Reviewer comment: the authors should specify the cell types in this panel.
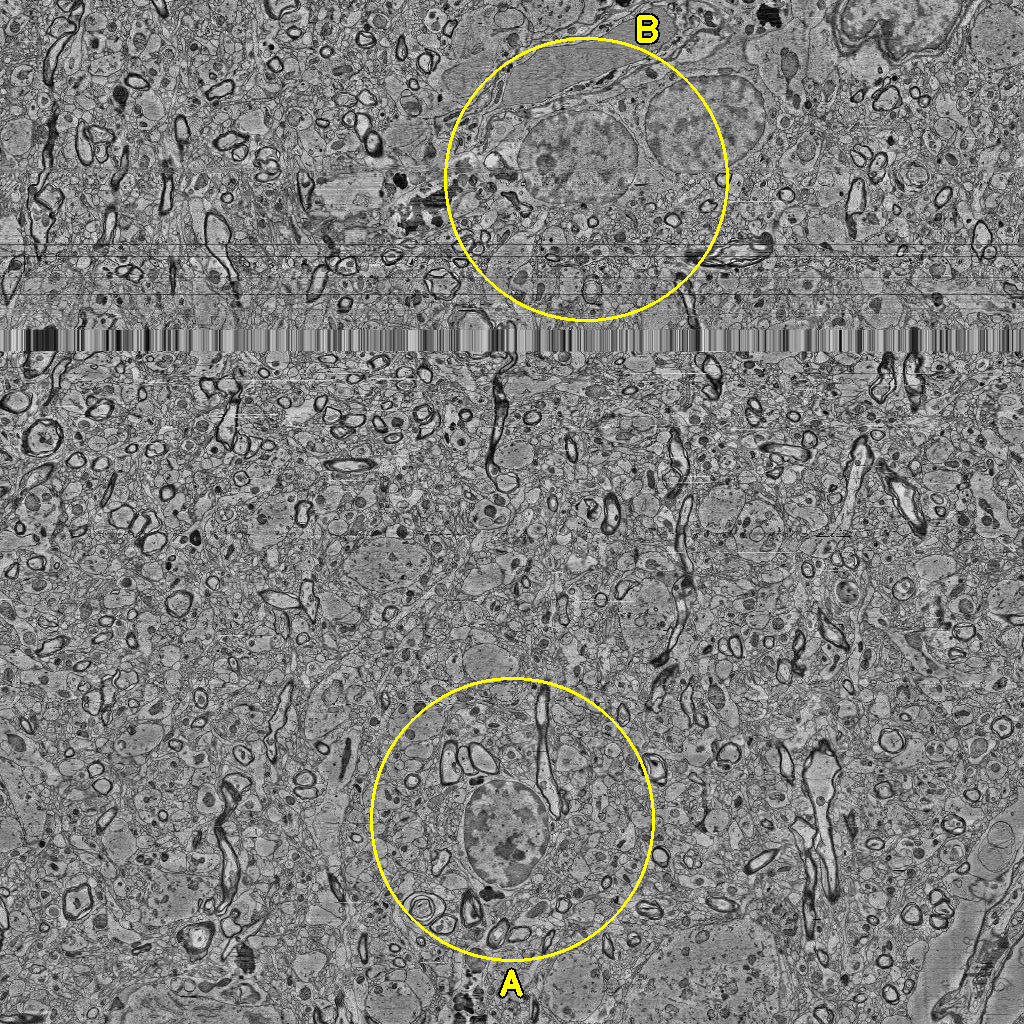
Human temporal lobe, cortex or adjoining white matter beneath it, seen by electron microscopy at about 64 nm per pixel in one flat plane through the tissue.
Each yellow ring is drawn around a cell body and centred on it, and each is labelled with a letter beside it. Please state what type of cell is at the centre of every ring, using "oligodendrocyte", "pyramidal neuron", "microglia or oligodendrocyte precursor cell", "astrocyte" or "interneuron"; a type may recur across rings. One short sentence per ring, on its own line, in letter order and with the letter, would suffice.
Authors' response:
The cell centred within ring A is a microglial cell or oligodendrocyte precursor cell.
The cell centred within ring B is an oligodendrocyte.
